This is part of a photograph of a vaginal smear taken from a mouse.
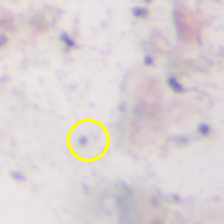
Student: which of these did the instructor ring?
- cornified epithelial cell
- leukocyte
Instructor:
The cell I ringed is a leukocyte.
